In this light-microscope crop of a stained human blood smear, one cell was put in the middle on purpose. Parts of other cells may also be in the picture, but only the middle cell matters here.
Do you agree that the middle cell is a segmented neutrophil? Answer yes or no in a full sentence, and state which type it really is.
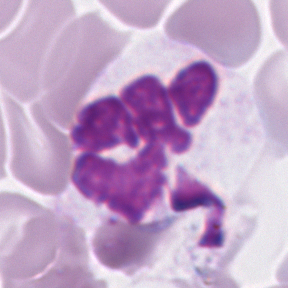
Yes, the middle cell here is a segmented neutrophil.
